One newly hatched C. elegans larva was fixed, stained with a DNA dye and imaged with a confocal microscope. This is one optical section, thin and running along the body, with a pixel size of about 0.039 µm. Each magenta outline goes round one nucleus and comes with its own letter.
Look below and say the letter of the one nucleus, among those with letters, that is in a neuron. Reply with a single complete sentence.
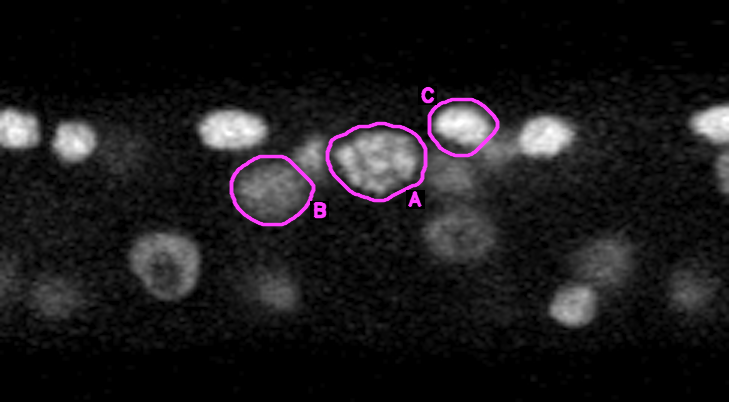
It is C that belongs to a neuron.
